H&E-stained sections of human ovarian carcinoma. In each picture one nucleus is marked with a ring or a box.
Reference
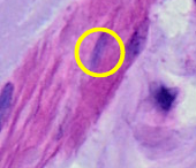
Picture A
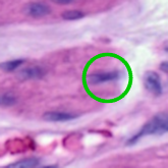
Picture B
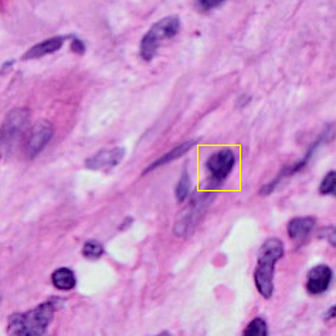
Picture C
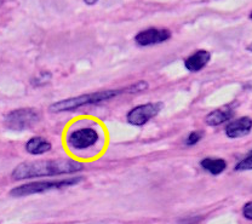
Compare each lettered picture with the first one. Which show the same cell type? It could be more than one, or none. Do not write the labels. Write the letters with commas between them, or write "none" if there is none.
A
